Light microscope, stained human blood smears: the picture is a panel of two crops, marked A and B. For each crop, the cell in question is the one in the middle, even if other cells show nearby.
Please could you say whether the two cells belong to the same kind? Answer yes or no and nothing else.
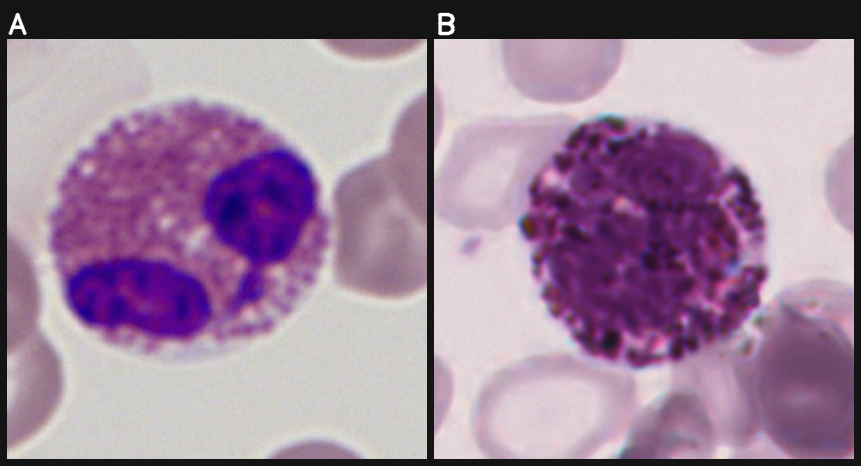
no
